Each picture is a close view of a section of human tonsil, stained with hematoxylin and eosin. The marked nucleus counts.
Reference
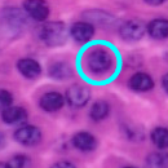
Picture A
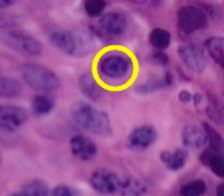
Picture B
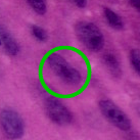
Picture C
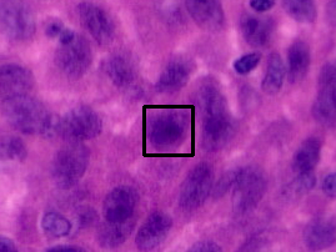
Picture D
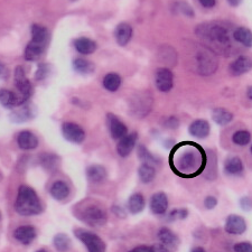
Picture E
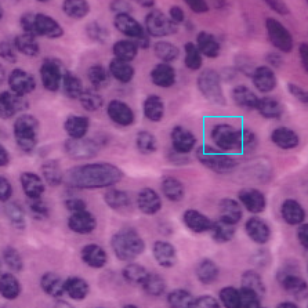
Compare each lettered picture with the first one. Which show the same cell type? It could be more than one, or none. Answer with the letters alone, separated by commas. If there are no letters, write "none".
A, D, E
